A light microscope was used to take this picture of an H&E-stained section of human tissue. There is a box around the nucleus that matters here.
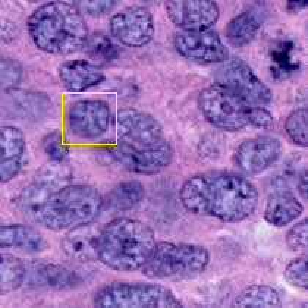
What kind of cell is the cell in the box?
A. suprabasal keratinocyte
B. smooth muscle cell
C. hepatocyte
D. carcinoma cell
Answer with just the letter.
D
